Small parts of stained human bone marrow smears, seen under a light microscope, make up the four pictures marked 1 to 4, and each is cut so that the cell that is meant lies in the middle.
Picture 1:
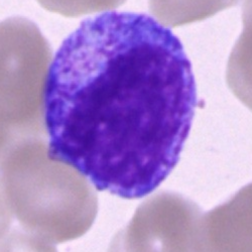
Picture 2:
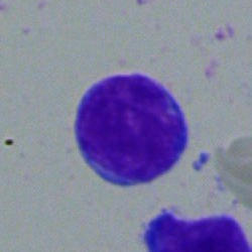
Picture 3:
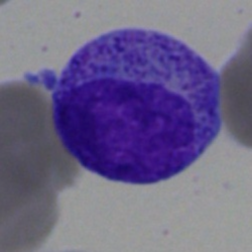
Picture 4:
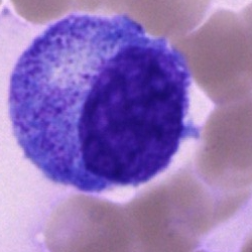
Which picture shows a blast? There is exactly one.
2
